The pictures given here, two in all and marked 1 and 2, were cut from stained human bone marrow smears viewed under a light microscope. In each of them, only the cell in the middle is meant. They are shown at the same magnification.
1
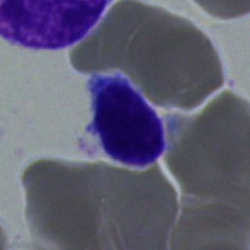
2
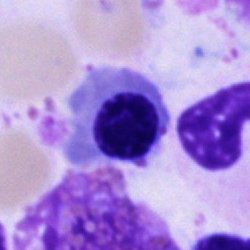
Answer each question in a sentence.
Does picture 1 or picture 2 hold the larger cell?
Larger is the cell in picture 2, at roughly 1.5 times the area of the other.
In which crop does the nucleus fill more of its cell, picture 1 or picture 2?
The nucleus fills more of the cell in picture 1 than in picture 2.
